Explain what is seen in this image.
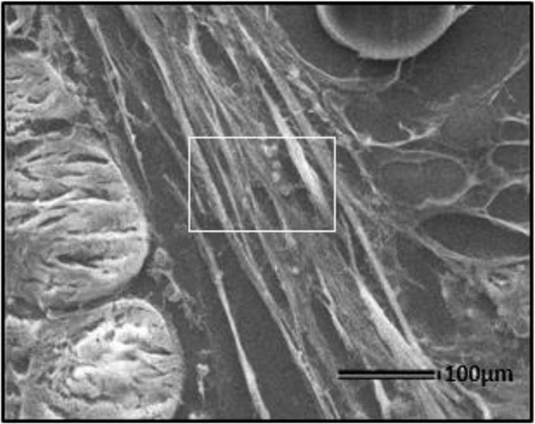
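Here the connective tissue between muscle fibers is seen closer. Down the middle run many long strands and bundles of collagen fibers, lying roughly parallel and diagonal across the field, with thinner strands crossing and joining them. On the left, the cut ends of two muscle fibers show a rumpled, folded surface. On the right, smoother rounded profiles are bordered by a delicate web of fine strands. The bundles vary in thickness, some broad and flat, others thread-like, and they lie closely packed in the space between the muscle fibers.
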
